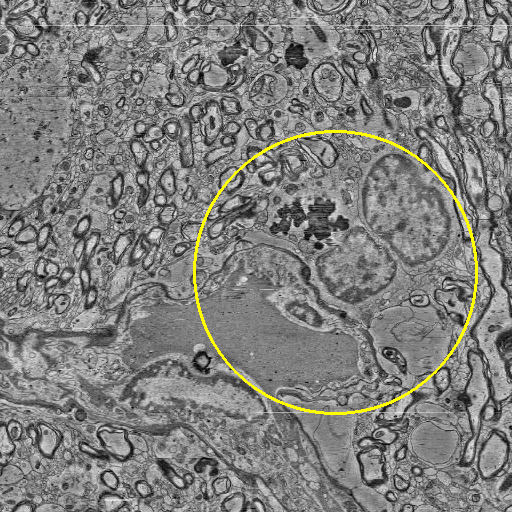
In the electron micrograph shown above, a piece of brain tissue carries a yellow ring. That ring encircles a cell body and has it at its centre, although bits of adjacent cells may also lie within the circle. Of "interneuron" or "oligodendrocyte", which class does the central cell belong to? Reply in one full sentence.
The cell body at the centre of the yellow ring belongs to an oligodendrocyte.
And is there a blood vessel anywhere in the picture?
Yes.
